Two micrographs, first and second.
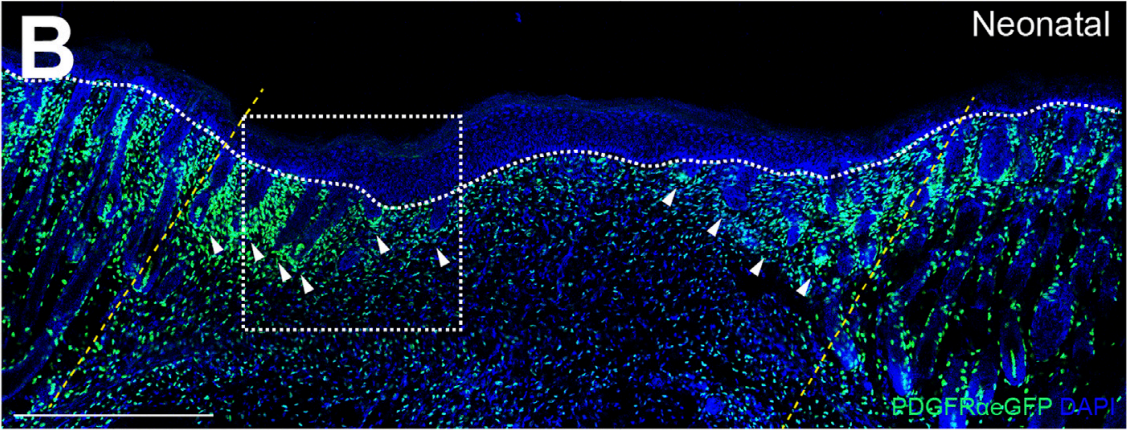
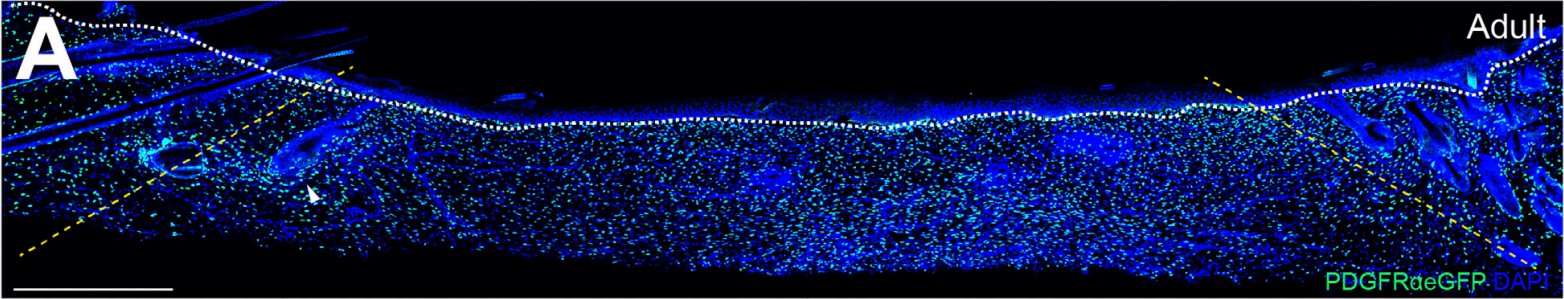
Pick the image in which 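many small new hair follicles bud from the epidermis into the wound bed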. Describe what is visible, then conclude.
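First image: numerous small epithelial buds with green cell clusters lie in the wound bed between the yellow lines. Second image: the wound bed between the yellow lines is a uniform dermis with almost no follicle buds. So: the first image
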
